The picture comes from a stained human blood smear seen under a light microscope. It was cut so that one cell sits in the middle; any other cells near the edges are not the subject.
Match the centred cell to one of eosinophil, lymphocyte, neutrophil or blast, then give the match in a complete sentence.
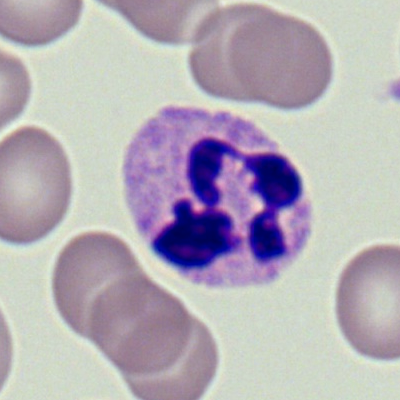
The cell that lies at the centre of the crop is a neutrophil.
